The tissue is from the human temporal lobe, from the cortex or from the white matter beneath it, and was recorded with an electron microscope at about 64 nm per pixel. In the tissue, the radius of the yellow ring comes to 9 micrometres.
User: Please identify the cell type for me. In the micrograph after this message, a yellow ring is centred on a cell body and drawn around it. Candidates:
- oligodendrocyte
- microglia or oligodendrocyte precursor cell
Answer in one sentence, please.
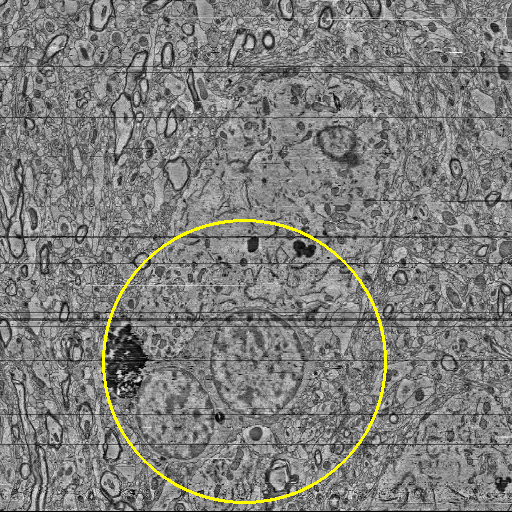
The ring is drawn around the cell body of an oligodendrocyte.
